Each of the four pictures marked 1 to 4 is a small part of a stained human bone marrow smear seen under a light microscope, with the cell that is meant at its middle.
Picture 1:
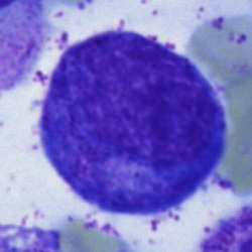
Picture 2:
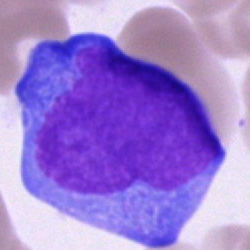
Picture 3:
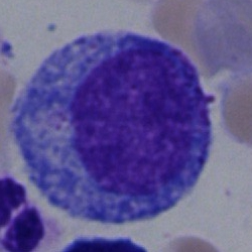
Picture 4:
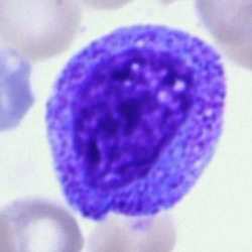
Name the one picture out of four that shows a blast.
2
